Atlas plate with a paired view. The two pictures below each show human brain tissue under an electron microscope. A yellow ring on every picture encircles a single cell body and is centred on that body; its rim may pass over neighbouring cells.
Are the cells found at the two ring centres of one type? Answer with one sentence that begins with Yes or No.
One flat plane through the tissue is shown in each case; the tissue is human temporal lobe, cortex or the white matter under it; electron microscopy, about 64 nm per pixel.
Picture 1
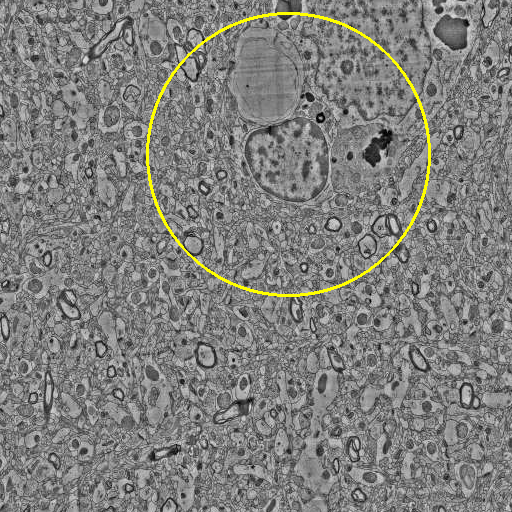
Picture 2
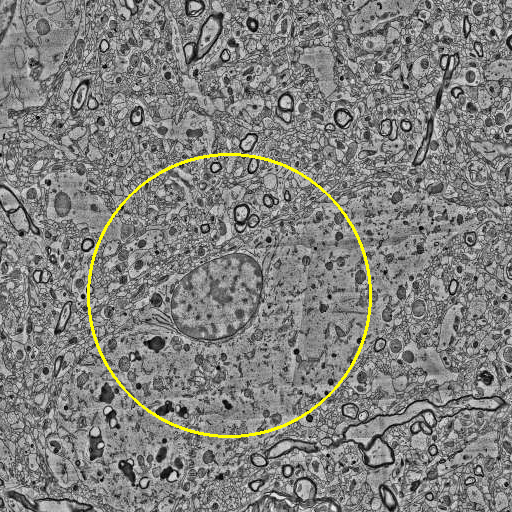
Yes, the two cells lying at the centres of the rings share a single type.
